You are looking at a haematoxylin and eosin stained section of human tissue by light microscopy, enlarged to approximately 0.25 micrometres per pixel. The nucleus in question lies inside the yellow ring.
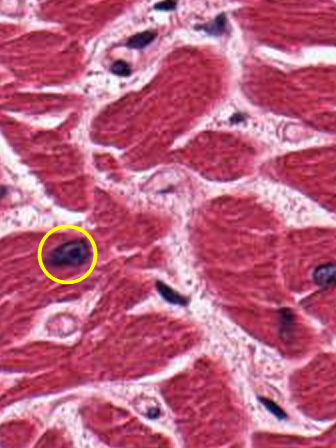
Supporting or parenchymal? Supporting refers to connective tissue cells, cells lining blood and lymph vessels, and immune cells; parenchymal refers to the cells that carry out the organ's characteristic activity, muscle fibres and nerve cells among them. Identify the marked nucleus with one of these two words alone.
parenchymal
